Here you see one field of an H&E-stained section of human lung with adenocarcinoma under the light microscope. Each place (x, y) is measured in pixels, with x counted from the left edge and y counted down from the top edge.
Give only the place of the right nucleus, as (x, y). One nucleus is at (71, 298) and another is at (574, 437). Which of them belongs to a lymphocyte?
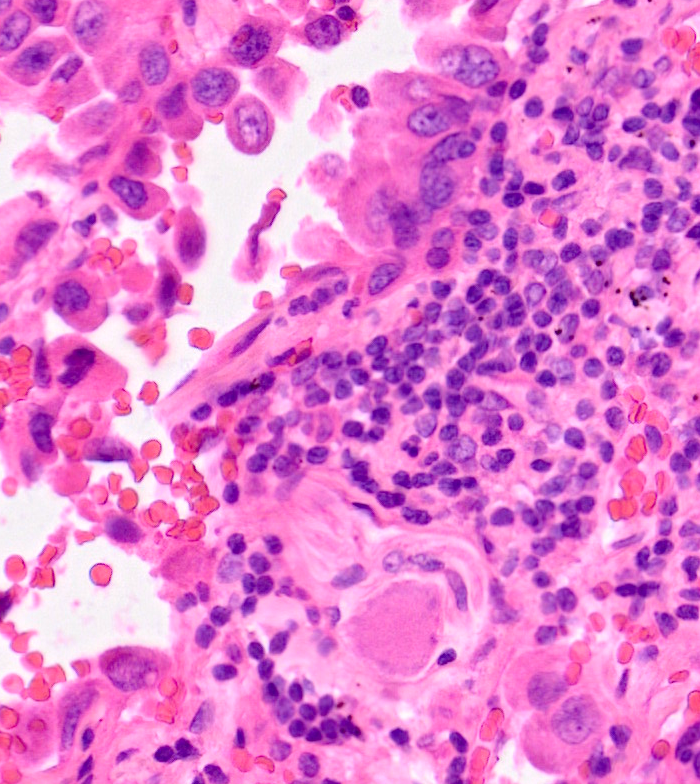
(574, 437)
